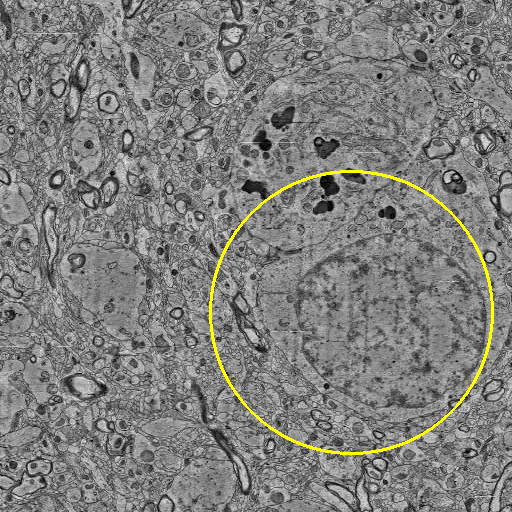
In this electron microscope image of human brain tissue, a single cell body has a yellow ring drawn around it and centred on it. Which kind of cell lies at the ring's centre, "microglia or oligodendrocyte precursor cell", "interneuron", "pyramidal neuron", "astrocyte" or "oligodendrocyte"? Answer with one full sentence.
It is an interneuron whose cell body lies at the centre of the yellow ring here.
